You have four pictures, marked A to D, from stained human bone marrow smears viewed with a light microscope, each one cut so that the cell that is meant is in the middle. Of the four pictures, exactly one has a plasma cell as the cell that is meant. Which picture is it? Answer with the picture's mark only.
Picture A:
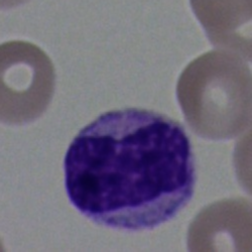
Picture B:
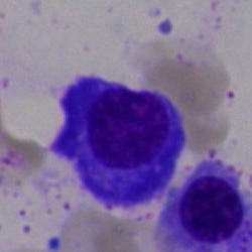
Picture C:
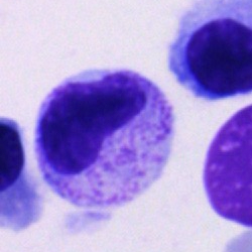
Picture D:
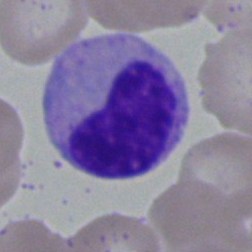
B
